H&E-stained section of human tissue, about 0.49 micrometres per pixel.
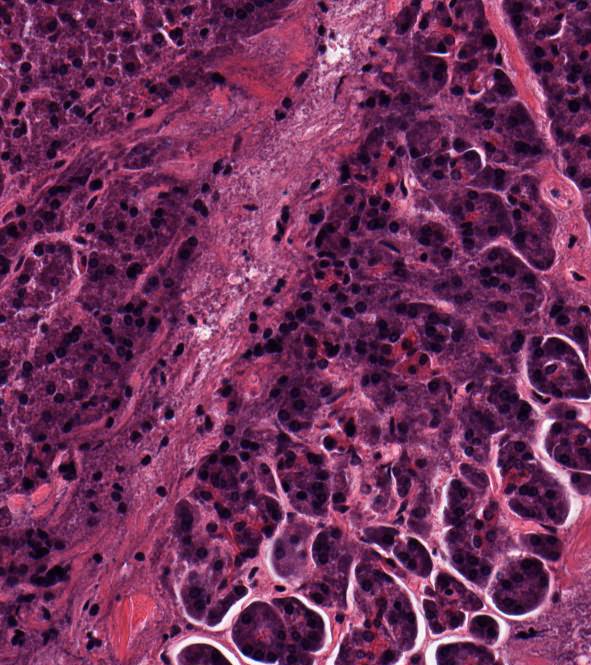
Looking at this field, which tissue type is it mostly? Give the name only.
exocrine pancreas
